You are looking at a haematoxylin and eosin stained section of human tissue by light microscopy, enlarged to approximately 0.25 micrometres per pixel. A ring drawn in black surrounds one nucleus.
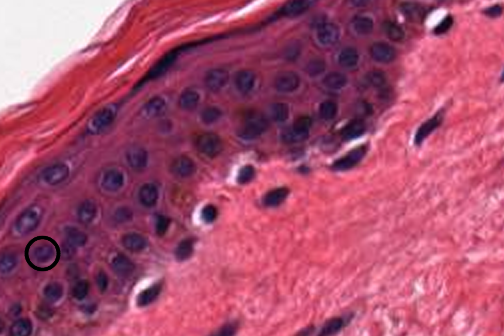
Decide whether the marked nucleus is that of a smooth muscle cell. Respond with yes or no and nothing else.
no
